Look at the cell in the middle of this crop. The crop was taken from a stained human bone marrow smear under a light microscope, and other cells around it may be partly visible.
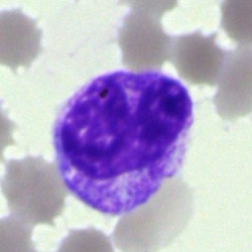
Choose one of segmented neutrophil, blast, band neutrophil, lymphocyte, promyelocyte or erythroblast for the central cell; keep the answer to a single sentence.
Positioned in the middle of the crop is a band neutrophil.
